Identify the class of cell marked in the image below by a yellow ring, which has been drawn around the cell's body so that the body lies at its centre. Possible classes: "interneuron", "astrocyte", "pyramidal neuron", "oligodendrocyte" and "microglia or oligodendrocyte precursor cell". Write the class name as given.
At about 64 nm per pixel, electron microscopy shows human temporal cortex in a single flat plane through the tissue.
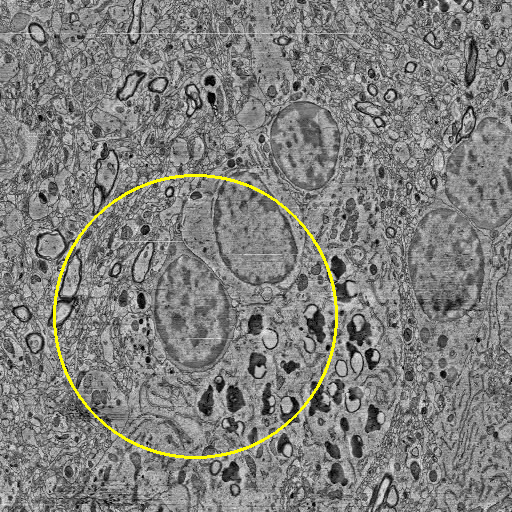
oligodendrocyte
